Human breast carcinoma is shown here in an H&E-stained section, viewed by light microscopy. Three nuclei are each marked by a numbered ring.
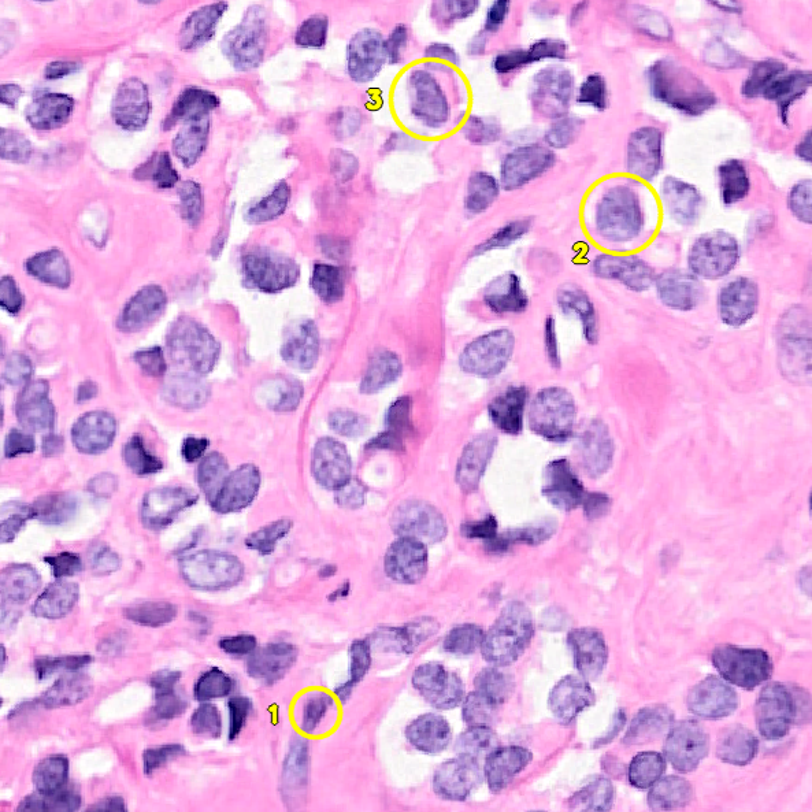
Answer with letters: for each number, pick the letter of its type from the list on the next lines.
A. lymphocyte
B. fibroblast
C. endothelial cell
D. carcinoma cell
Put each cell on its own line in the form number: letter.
1: C
2: D
3: D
